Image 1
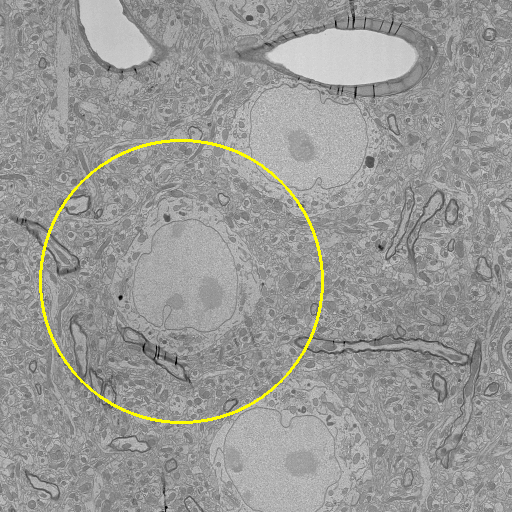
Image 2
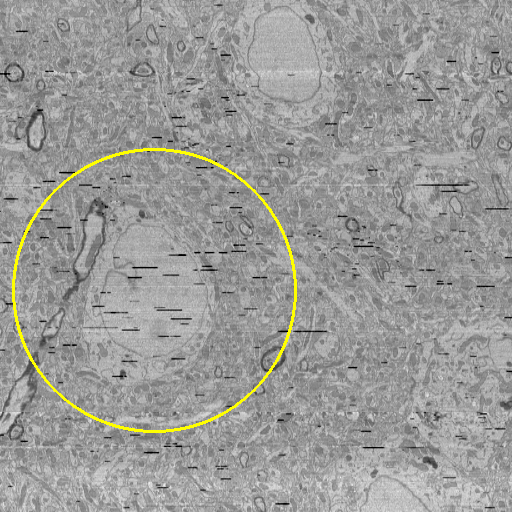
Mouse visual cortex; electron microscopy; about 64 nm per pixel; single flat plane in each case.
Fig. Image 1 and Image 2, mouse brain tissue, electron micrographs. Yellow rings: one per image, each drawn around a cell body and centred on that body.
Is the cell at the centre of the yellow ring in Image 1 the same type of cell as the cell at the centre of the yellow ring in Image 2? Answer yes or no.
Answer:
yes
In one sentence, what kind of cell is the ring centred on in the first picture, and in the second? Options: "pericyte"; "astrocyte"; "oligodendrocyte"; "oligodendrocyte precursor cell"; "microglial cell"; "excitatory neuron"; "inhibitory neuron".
Each of the two cells is an excitatory neuron.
